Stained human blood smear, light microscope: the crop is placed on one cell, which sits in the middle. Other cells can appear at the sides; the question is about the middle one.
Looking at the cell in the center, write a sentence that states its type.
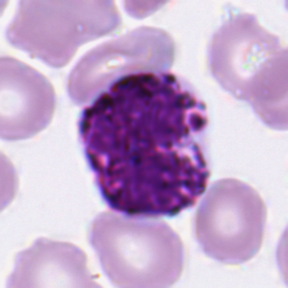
This crop is built around a basophil at its centre.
